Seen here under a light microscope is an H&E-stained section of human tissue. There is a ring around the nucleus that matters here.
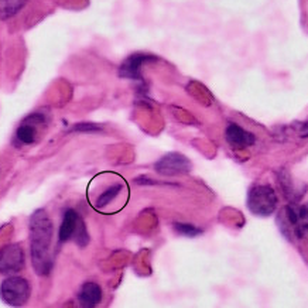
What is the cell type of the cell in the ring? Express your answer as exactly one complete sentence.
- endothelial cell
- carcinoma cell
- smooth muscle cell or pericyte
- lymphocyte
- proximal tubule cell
In terms of identity, the cell in the ring is an endothelial cell.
